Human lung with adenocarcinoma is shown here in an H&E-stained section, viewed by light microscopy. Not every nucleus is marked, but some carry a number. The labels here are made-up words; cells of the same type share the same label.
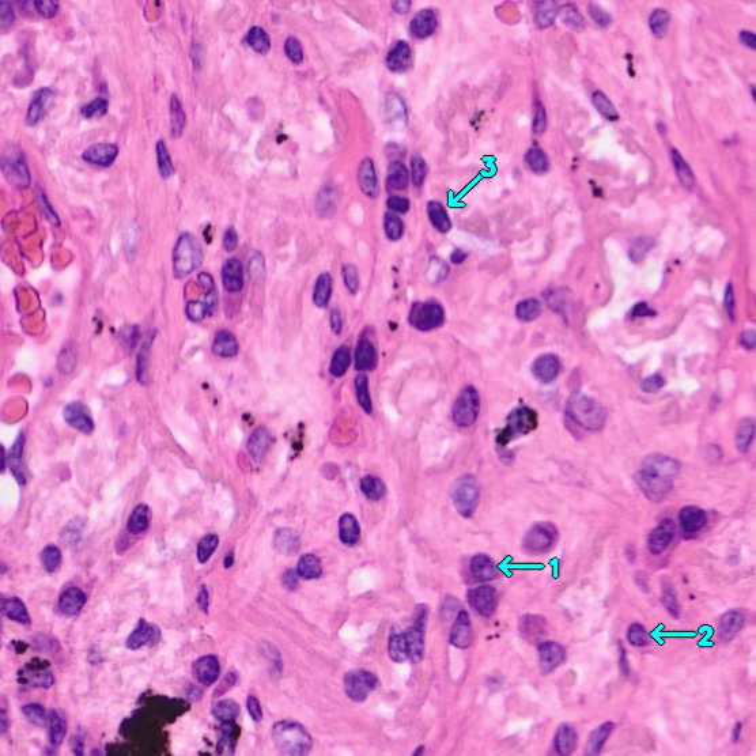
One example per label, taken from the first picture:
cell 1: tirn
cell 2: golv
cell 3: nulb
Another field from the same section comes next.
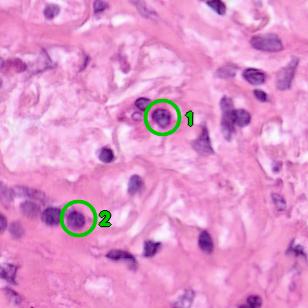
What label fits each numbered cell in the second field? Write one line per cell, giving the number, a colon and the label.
1: golv
2: nulb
